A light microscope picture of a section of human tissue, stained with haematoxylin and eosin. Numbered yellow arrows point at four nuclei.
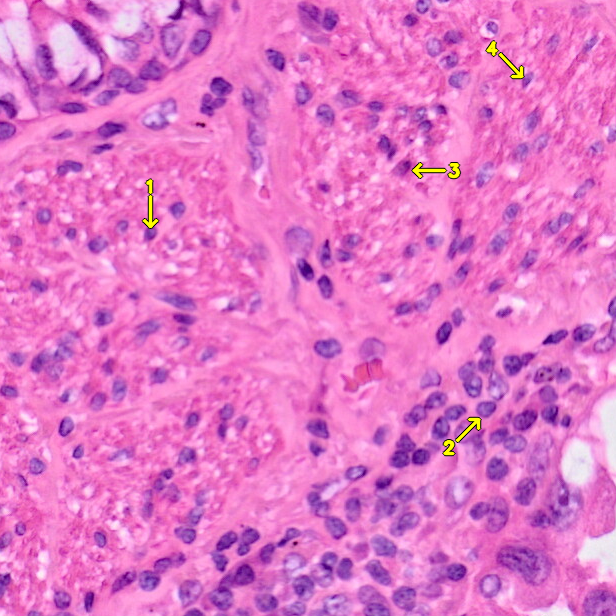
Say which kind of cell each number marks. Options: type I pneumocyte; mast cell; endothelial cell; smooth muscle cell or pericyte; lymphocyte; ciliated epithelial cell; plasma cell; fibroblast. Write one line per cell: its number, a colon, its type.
1: smooth muscle cell or pericyte
2: lymphocyte
3: smooth muscle cell or pericyte
4: smooth muscle cell or pericyte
